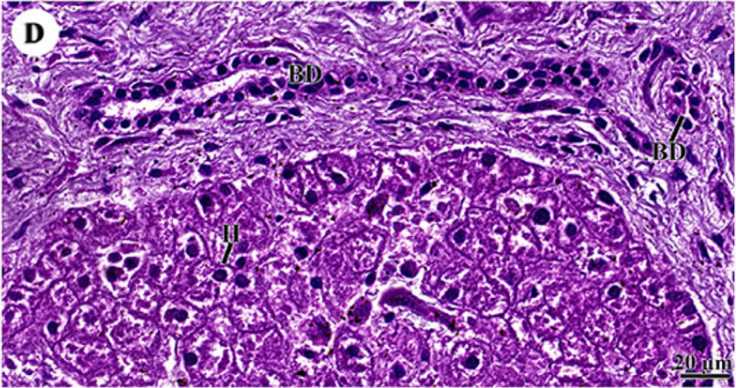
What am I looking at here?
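Portal region of the liver where a band of pale fibrous connective tissue borders the hepatocyte parenchyma. Within the connective tissue run bile ductules lined by small cuboidal cells with closely packed dark nuclei, among elongated fibroblast nuclei. Below lie large polygonal hepatocytes with round nuclei and granular purple cytoplasm.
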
